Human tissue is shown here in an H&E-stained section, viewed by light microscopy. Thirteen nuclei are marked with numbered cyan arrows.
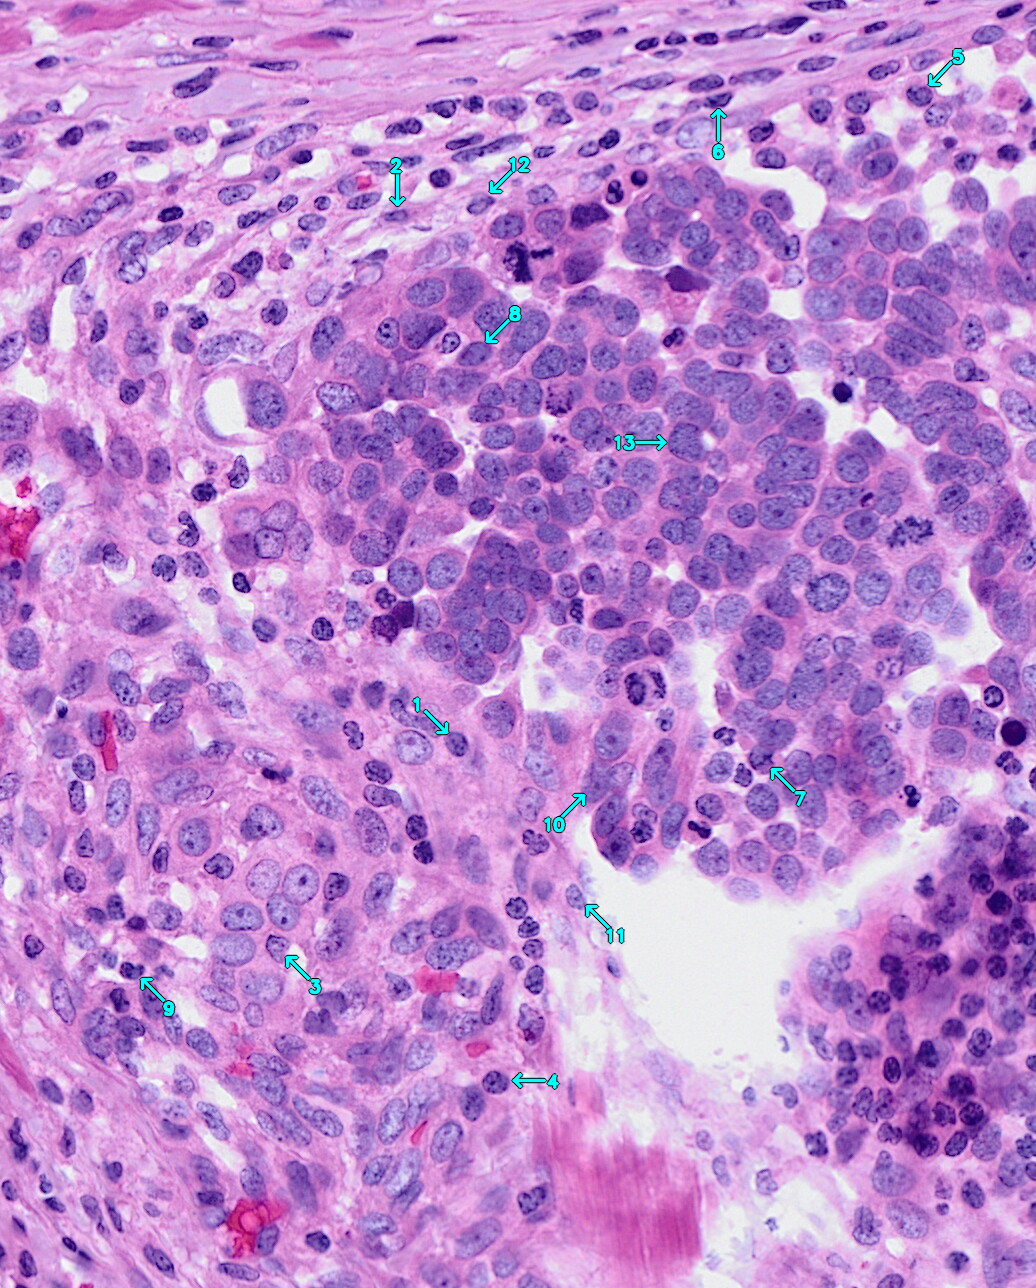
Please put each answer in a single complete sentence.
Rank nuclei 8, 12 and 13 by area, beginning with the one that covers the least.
From smallest to largest, the order is 12, 8, 13.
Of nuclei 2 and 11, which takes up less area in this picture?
Nucleus 2 is the smaller one; nucleus 11 covers about 1.5 times its area.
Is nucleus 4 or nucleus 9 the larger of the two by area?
It is nucleus 4, which covers about 1.5 times the area of nucleus 9.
